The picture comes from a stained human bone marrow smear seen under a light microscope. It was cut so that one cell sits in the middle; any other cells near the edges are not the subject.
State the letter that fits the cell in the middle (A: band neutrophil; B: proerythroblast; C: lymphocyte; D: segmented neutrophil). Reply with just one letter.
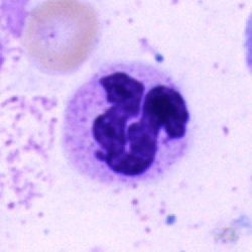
D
